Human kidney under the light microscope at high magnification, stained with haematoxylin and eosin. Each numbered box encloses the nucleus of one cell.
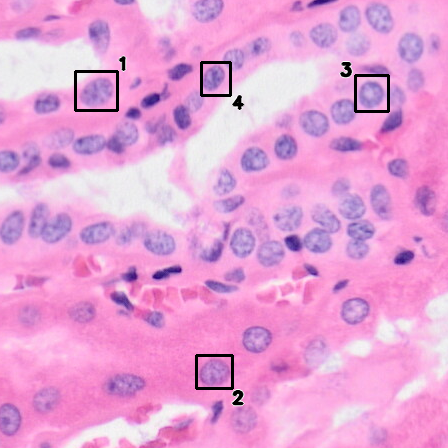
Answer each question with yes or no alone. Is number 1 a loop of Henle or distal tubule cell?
yes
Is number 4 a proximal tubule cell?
no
